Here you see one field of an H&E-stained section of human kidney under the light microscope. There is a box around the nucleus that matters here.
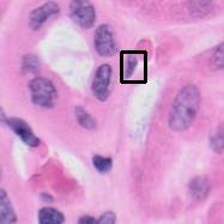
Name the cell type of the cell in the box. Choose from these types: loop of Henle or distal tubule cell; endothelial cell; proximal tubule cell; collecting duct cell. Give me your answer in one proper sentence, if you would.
Speaking plainly, the cell in the box is nothing other than an endothelial cell.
